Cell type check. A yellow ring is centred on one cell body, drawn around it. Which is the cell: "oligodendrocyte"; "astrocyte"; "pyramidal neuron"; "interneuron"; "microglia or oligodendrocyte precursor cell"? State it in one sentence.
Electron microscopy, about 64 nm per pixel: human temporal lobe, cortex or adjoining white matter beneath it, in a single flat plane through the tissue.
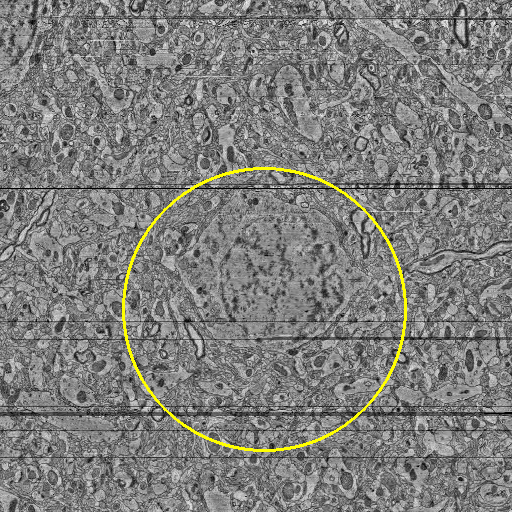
The cell body at the ring's centre belongs to an interneuron.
